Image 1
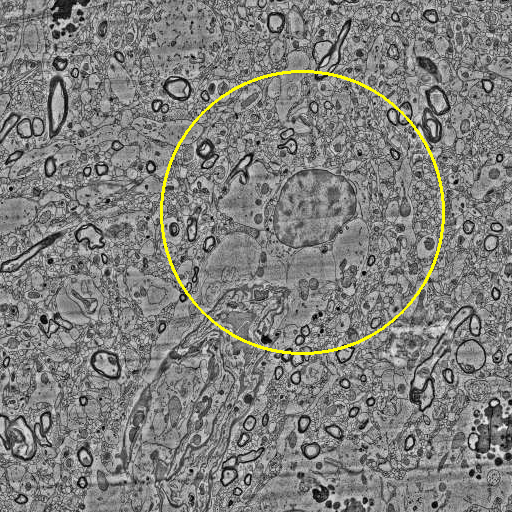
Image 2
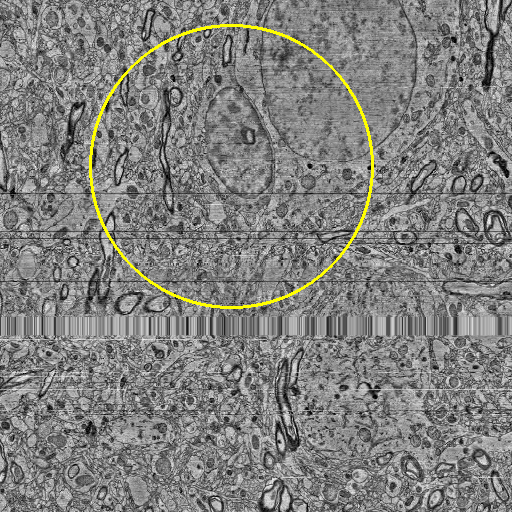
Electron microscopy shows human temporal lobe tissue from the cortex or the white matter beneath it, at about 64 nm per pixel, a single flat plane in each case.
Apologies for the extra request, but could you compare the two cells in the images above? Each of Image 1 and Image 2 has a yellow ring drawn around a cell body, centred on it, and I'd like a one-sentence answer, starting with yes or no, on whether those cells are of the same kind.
No, the two cells are of two kinds.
